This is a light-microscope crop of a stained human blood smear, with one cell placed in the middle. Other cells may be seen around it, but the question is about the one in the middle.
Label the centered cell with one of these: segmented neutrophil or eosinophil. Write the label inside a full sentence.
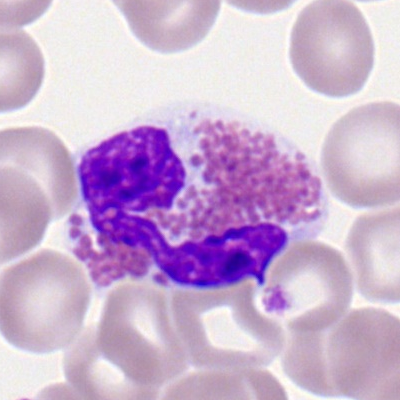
The middle of this crop holds an eosinophil.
